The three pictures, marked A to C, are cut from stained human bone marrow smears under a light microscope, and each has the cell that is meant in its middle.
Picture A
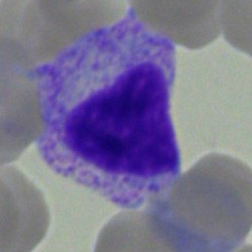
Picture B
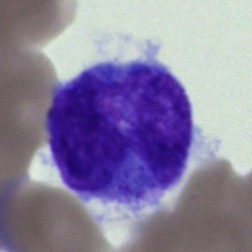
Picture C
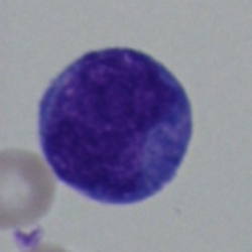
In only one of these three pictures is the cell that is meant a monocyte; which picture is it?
B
